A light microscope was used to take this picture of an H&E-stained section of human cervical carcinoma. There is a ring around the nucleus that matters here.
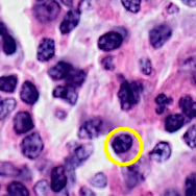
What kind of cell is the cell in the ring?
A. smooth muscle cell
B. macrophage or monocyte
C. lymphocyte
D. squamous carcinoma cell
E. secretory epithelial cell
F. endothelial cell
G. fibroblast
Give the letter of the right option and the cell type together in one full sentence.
The correct response is option C: the cell in the ring is a lymphocyte.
